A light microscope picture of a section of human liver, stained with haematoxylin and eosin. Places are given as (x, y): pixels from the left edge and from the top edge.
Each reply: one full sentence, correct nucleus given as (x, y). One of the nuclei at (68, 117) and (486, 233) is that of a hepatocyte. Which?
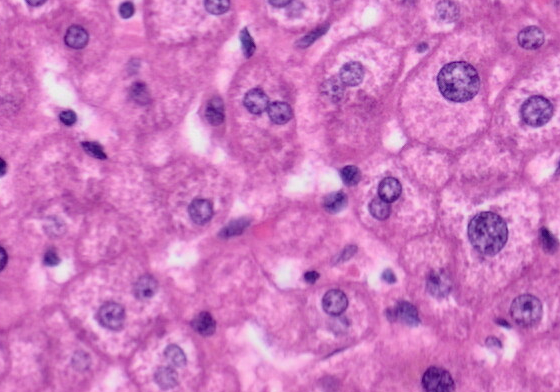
The pair contains one nucleus of a hepatocyte, namely the one at (486, 233).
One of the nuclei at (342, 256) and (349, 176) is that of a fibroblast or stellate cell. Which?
The nucleus found at (349, 176) belongs to a fibroblast or stellate cell.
